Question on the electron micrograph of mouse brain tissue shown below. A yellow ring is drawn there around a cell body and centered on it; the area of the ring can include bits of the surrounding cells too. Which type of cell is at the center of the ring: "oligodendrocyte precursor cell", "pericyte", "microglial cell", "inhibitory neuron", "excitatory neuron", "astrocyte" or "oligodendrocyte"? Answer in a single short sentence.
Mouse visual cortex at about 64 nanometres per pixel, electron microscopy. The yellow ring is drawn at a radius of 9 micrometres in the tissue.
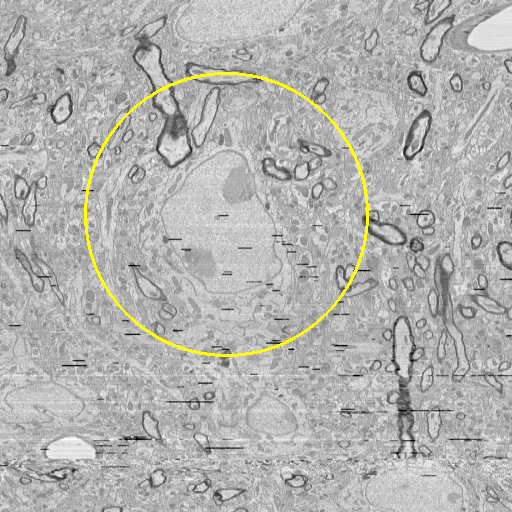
The ring is centered on an excitatory neuron.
